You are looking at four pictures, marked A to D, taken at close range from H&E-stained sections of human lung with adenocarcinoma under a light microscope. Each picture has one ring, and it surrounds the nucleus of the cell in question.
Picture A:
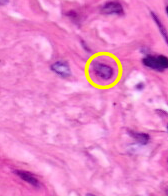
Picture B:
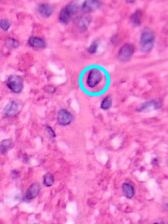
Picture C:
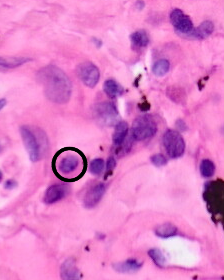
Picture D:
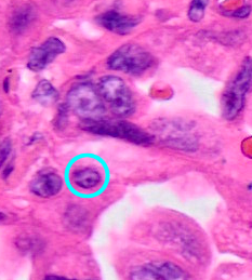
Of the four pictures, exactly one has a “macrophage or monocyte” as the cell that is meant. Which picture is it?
D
